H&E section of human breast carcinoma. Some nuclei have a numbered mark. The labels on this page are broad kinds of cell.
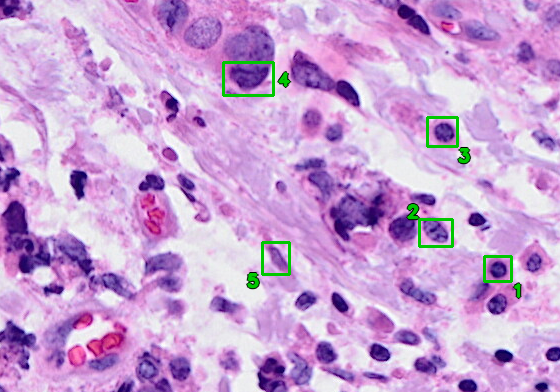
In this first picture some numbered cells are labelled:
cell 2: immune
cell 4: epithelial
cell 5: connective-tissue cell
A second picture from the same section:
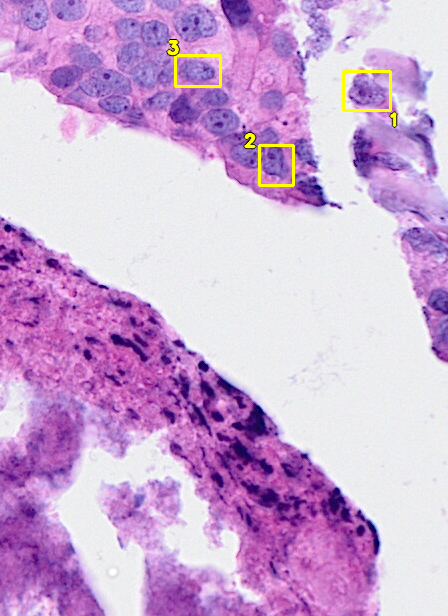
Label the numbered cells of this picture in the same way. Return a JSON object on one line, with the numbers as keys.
{"1": "connective-tissue cell", "2": "epithelial", "3": "epithelial"}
